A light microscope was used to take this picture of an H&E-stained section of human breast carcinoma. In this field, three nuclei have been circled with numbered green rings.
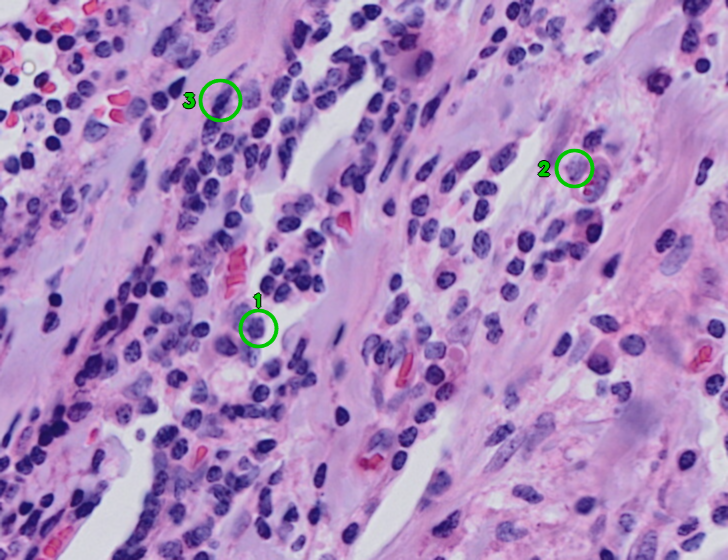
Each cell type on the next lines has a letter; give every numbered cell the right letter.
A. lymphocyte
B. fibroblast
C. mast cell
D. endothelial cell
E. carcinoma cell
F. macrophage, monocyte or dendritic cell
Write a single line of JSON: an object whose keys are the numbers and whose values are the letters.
{"1": "A", "2": "D", "3": "A"}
